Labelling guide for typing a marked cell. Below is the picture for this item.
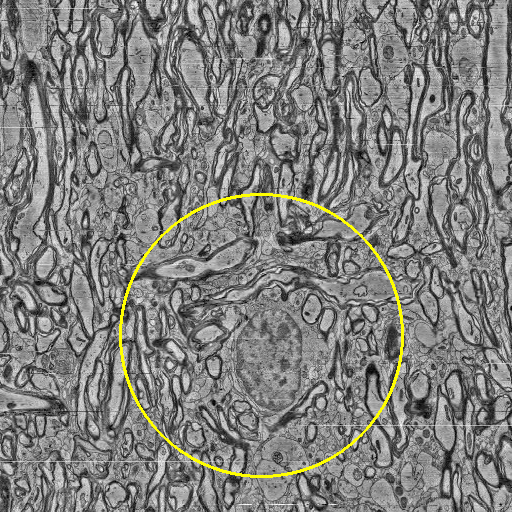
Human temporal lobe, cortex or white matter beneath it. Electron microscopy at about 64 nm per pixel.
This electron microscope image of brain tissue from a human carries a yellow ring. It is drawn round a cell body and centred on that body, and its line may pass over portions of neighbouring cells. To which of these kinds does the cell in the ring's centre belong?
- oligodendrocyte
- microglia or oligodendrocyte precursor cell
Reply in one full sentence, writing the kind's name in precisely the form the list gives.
Here we have an oligodendrocyte at the centre of the yellow ring in the picture.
